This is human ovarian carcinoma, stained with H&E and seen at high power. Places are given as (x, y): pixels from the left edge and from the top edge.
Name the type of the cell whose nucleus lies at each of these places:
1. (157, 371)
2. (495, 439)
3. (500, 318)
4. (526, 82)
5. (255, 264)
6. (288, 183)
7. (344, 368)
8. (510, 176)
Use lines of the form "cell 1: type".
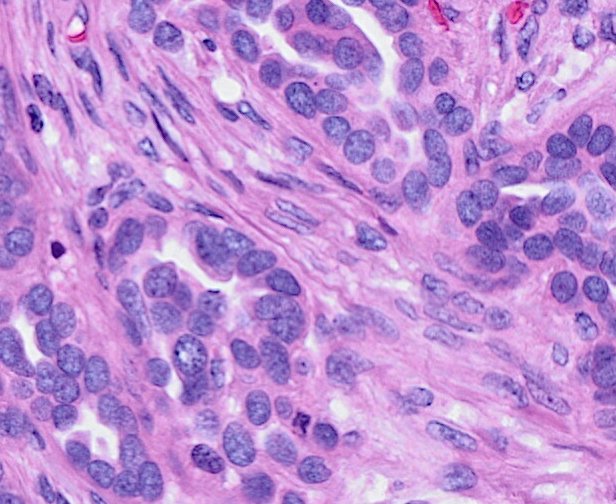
cell 1: carcinoma cell
cell 2: fibroblast
cell 3: fibroblast
cell 4: fibroblast
cell 5: carcinoma cell
cell 6: fibroblast
cell 7: fibroblast
cell 8: carcinoma cell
